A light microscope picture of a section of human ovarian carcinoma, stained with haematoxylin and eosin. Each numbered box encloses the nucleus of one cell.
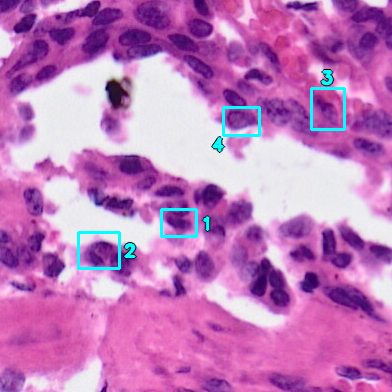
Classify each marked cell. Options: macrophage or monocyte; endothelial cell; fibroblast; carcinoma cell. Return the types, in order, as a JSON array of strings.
["carcinoma cell", "carcinoma cell", "endothelial cell", "carcinoma cell"]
